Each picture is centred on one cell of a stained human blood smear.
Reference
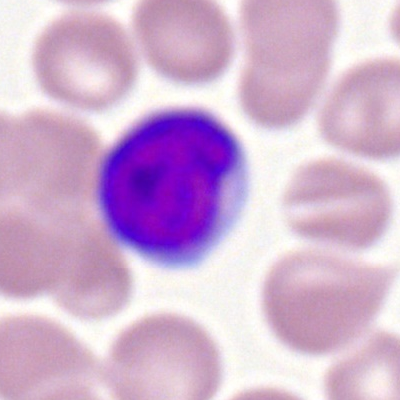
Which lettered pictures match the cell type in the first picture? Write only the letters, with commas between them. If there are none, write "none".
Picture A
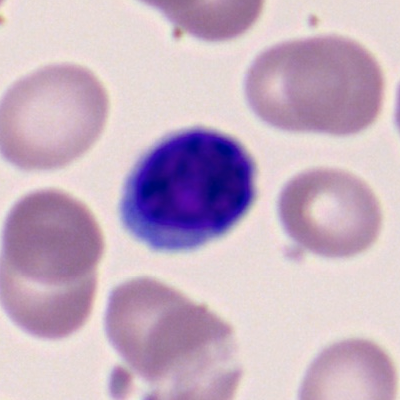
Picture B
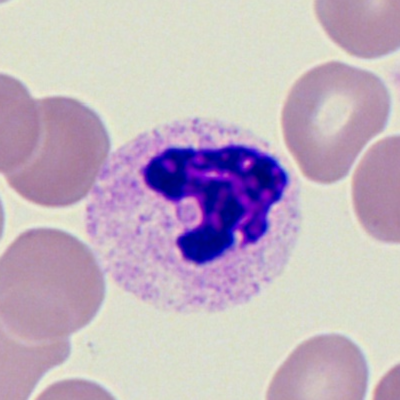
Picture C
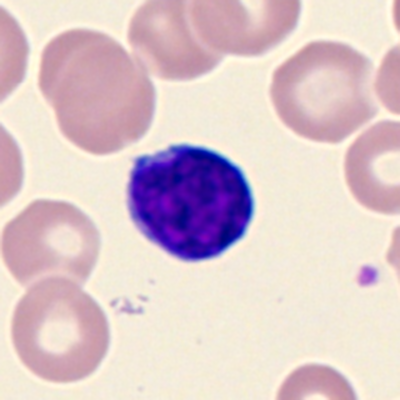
A, C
